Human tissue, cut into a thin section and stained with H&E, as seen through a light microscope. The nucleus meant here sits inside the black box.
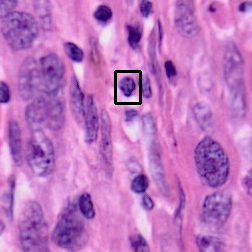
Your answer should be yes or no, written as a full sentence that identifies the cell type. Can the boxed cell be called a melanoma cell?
No, the boxed cell is scored as a lymphocyte and not as a melanoma cell.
